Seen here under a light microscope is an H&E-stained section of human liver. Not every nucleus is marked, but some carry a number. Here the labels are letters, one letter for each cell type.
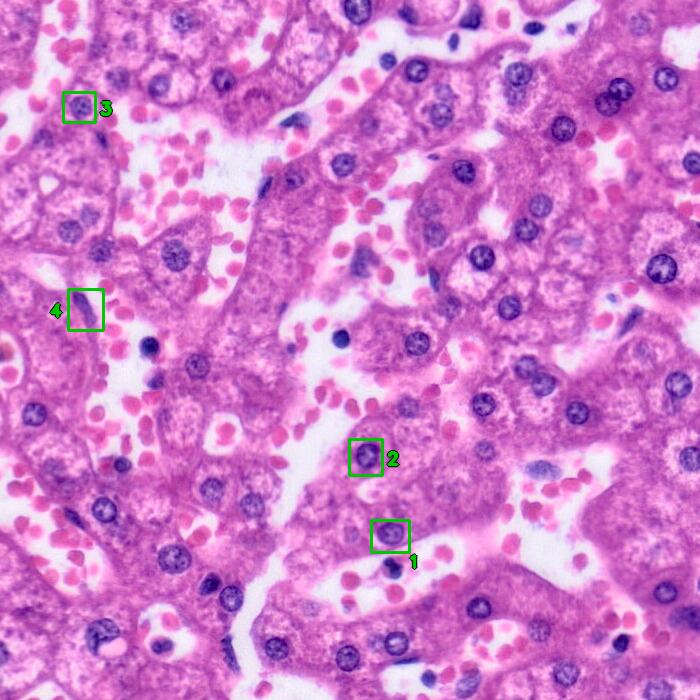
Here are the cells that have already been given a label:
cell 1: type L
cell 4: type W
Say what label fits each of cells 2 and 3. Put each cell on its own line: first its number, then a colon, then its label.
2: type L
3: type L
